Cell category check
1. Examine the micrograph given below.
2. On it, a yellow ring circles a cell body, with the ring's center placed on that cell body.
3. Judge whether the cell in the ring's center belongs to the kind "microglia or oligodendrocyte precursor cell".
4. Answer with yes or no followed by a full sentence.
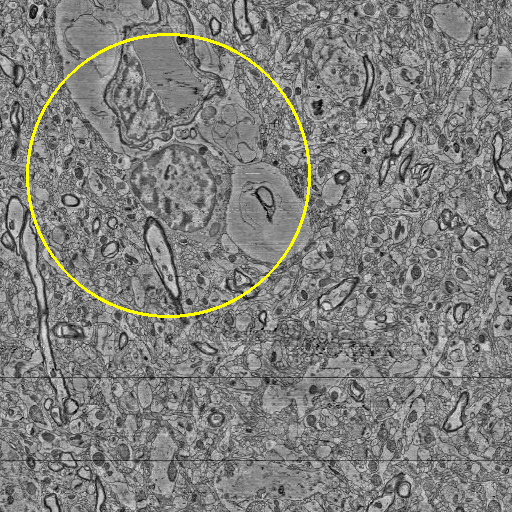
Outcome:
No, the cell found at the ring's center in the micrograph belongs to another kind.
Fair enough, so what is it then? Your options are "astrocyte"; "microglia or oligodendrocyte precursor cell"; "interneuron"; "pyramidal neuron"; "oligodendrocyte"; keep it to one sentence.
As it turns out, the cell at the ring centre is an oligodendrocyte.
